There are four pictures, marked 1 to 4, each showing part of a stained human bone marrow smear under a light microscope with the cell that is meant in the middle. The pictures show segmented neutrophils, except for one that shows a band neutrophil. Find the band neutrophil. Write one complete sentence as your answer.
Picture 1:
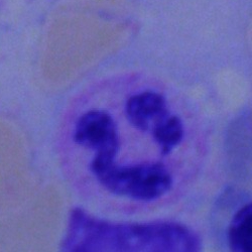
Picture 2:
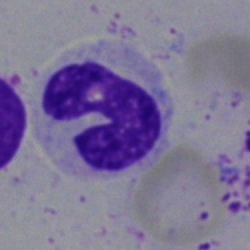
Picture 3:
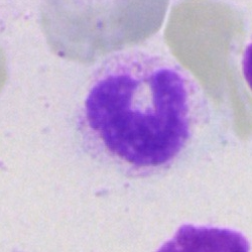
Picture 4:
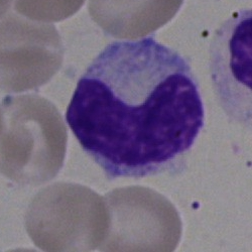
It is picture 4 that shows the band neutrophil.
